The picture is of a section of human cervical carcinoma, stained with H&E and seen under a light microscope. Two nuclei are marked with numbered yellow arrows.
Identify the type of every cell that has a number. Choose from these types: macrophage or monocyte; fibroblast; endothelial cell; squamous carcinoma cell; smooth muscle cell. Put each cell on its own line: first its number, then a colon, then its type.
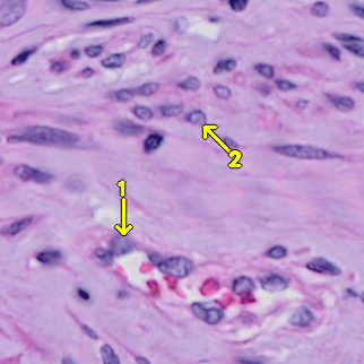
1: endothelial cell
2: smooth muscle cell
